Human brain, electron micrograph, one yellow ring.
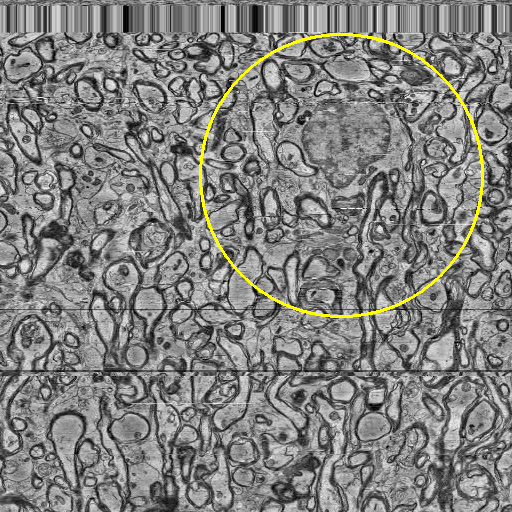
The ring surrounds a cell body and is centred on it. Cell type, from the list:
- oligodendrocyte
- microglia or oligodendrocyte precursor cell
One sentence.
The yellow ring circles an oligodendrocyte.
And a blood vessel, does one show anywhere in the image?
No.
